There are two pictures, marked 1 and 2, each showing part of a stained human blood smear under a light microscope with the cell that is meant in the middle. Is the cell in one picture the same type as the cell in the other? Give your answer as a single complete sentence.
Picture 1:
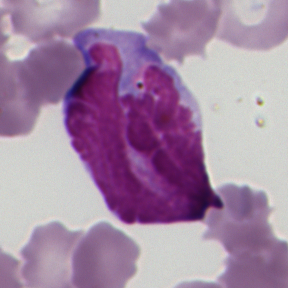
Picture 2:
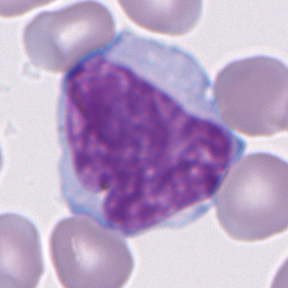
Yes, both are myeloblasts.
